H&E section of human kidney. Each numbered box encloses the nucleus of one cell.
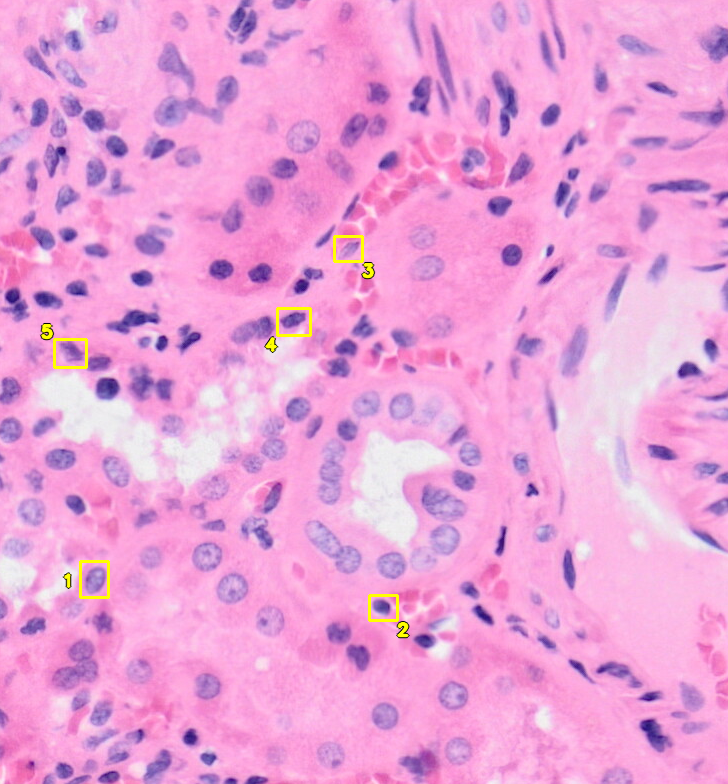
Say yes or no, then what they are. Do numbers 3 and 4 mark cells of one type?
No, cell 3 is an endothelial cell and cell 4 is a loop of Henle or distal tubule cell.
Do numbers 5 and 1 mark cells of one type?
Yes, both are loop of Henle or distal tubule cells.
